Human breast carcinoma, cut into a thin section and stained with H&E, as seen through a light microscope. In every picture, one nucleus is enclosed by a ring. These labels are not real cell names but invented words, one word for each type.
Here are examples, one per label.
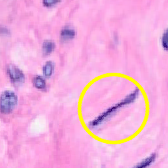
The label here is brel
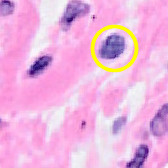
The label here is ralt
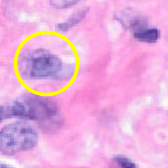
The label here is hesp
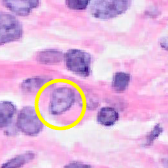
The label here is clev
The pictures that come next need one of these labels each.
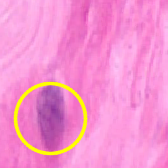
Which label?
brel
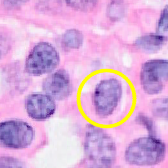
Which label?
clev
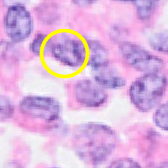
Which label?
clev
